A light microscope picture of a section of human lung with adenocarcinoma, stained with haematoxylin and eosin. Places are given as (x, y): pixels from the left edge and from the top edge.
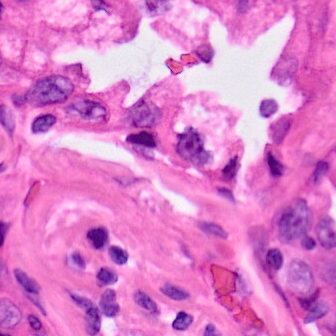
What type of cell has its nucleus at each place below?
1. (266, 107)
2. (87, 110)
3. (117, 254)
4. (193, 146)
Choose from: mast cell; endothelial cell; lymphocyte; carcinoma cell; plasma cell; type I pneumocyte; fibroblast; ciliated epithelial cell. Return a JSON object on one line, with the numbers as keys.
{"1": "lymphocyte", "2": "carcinoma cell", "3": "lymphocyte", "4": "carcinoma cell"}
